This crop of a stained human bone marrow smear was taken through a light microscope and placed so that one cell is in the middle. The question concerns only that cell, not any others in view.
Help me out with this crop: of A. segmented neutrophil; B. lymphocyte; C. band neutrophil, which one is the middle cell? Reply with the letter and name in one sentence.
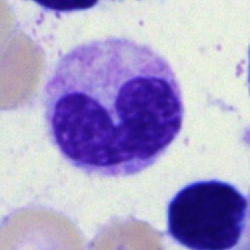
It is a band neutrophil that occupies the centre of the crop, so option C is correct.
